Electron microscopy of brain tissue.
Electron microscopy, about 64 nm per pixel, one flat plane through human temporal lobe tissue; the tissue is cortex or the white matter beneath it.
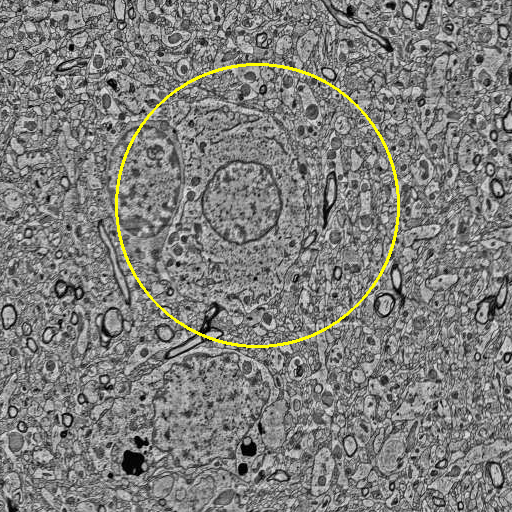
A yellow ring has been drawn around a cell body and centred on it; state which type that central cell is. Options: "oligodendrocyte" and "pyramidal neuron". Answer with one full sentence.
The cell at the middle of the yellow ring is a pyramidal neuron in this picture.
